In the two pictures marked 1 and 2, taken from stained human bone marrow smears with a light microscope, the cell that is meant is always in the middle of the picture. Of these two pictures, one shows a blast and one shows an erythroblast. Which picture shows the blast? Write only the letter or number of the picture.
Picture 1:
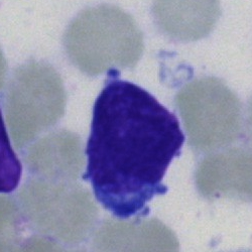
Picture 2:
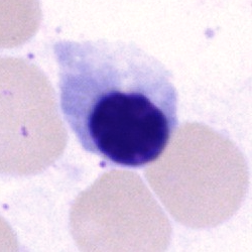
1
